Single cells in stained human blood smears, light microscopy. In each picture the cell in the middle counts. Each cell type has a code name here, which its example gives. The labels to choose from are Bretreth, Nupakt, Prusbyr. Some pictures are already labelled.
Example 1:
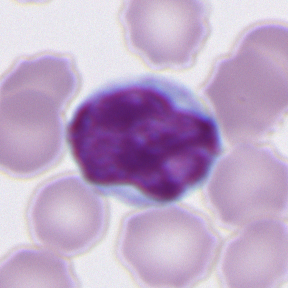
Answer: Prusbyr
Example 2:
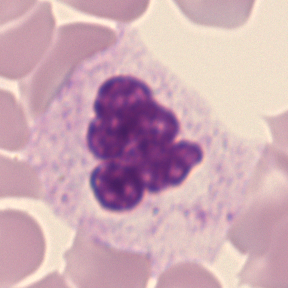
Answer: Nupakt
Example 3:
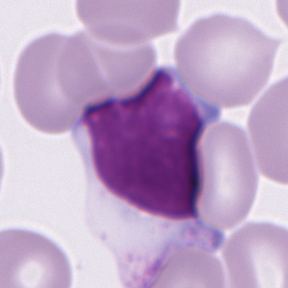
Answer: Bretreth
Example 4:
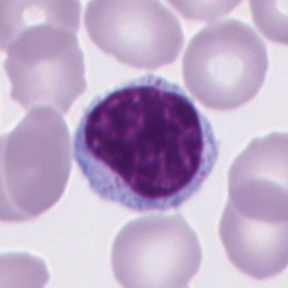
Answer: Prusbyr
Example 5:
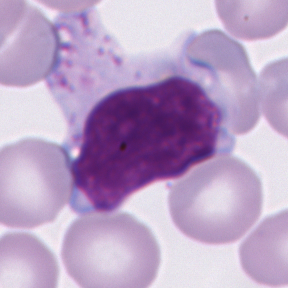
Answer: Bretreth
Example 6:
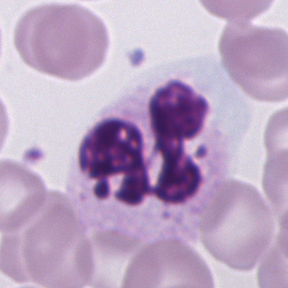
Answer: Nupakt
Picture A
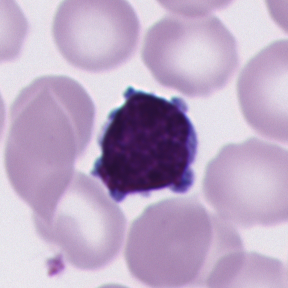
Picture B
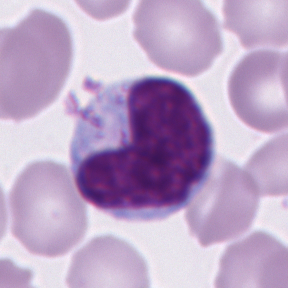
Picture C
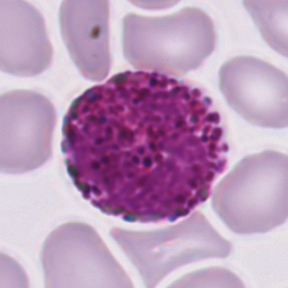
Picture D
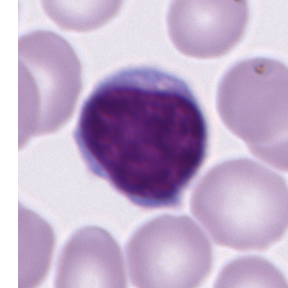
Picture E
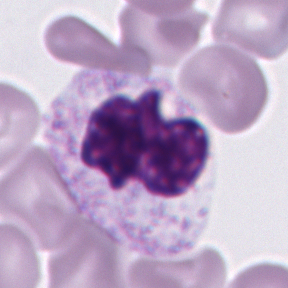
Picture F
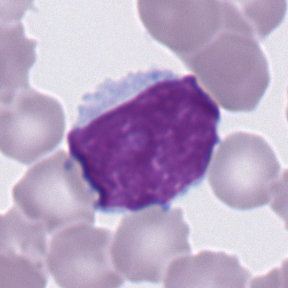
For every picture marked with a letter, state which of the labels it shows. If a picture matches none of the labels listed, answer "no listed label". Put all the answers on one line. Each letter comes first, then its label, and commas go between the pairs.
A Prusbyr, B Bretreth, C no listed label, D Prusbyr, E Nupakt, F Prusbyr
